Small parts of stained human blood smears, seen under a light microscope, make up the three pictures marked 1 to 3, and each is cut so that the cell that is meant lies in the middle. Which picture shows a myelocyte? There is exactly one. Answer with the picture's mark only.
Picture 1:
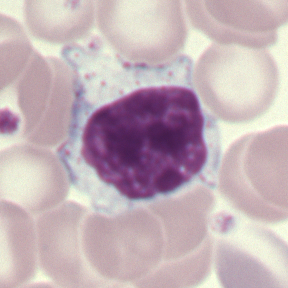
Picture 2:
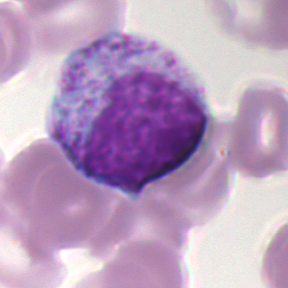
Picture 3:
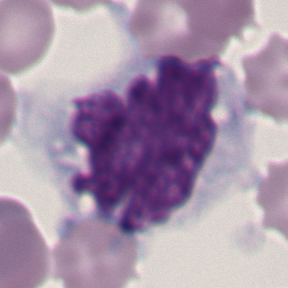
2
